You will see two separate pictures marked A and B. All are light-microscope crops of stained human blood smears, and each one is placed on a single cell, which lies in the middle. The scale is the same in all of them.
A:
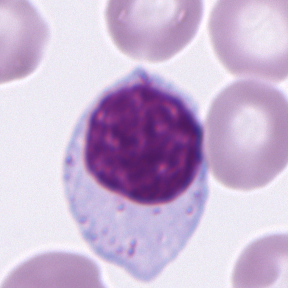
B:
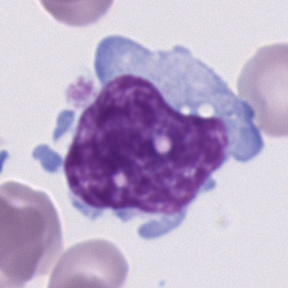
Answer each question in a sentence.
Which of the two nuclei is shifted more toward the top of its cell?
It is the nucleus in picture A that lies further toward the top of its cell.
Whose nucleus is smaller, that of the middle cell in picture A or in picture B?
It is the nucleus in picture A; the one in picture B has about 1.5 times its area.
